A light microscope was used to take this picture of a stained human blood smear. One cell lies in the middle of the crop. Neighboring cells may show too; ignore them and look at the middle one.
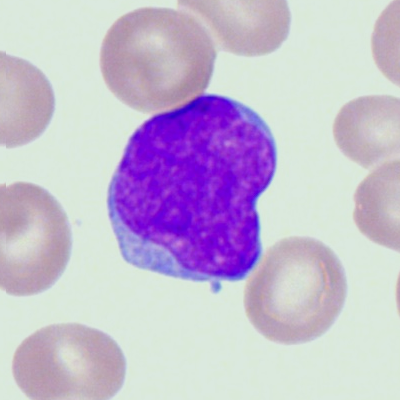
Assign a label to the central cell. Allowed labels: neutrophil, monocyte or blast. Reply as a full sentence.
The cell of interest, in the center, is a blast.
